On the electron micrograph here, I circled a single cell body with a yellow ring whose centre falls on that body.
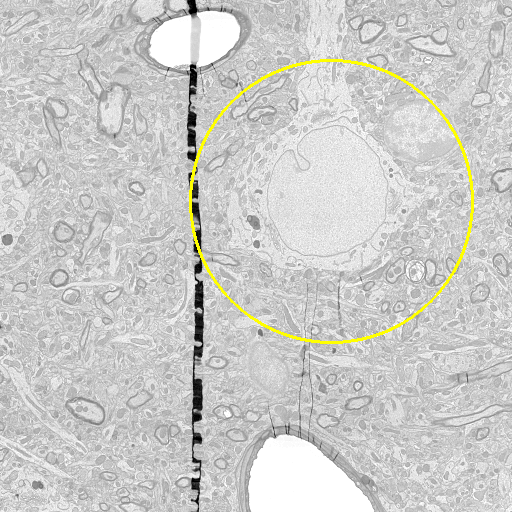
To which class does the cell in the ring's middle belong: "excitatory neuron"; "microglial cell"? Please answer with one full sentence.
In this picture, the cell body circled at the ring's centre belongs to an excitatory neuron.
